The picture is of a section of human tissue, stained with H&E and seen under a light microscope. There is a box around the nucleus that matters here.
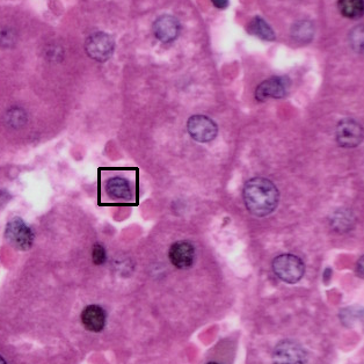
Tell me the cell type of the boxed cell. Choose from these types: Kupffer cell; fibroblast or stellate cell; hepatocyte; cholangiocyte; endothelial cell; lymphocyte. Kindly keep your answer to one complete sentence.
Speaking plainly, the boxed cell is nothing other than a Kupffer cell.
